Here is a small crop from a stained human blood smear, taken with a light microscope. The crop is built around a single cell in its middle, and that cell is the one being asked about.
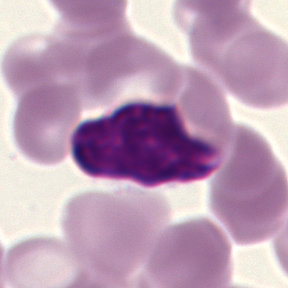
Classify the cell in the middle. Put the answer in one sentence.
Centred in the crop is a smudge cell.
